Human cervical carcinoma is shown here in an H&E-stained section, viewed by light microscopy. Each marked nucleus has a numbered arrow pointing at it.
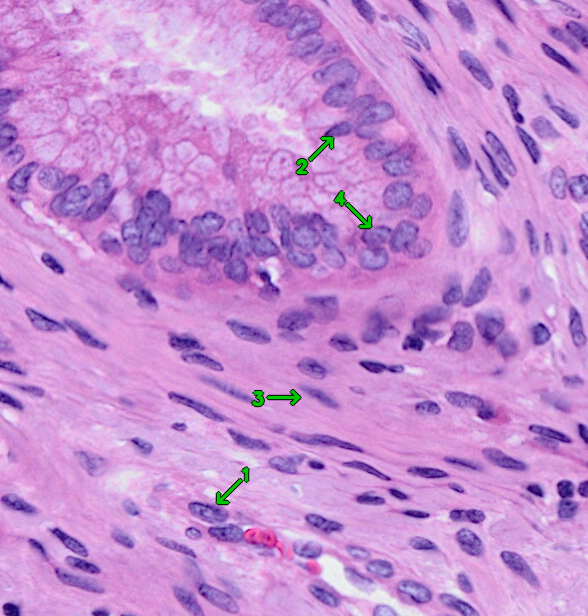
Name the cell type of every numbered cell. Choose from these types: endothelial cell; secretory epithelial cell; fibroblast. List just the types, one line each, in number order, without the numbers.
endothelial cell
secretory epithelial cell
fibroblast
secretory epithelial cell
